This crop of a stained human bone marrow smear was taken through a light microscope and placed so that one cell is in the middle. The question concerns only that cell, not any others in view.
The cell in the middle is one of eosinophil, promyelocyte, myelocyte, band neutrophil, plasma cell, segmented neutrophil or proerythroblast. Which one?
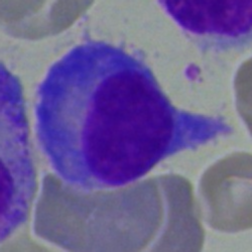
plasma cell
